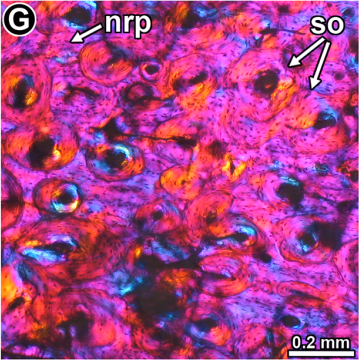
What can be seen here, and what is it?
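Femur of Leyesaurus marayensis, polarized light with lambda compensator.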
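Compact bone is packed with round to oval secondary osteons, each a set of concentric lamellae around a dark central canal, glowing in magenta, orange and blue interference colours. Many osteons overlap and cut into earlier ones, showing several generations of remodelling. Between them small patches of interstitial primary bone with fine dark lacunae are still preserved.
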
